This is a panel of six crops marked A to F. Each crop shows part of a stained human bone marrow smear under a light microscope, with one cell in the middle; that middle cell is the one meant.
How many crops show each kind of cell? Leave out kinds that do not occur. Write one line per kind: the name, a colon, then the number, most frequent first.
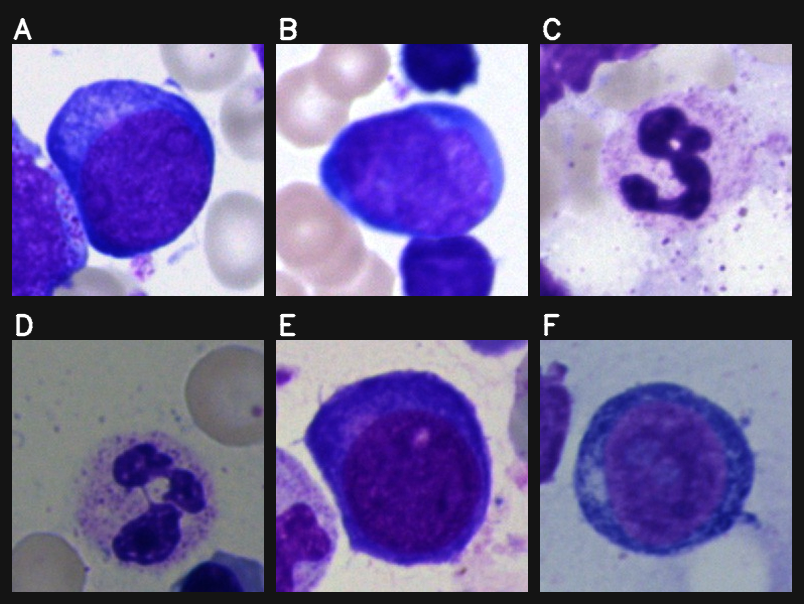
proerythroblast: 4
neutrophil: 2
